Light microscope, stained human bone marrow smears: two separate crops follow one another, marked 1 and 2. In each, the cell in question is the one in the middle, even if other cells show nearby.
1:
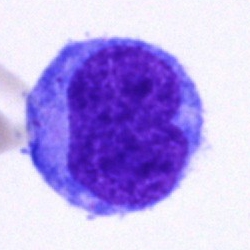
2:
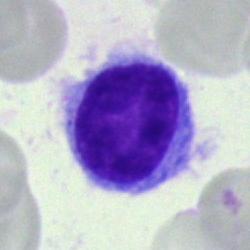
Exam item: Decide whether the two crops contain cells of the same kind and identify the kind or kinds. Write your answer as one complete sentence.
No, crop 1 captures a blast, and crop 2 captures a hairy cell.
